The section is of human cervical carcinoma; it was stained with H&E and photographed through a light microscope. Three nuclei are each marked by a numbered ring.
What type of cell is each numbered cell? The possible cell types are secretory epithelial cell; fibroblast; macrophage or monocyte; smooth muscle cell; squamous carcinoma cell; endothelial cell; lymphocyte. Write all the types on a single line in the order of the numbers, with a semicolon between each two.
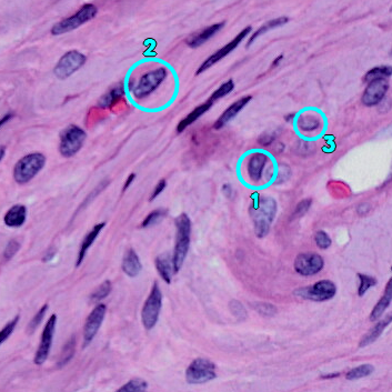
smooth muscle cell; endothelial cell; smooth muscle cell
